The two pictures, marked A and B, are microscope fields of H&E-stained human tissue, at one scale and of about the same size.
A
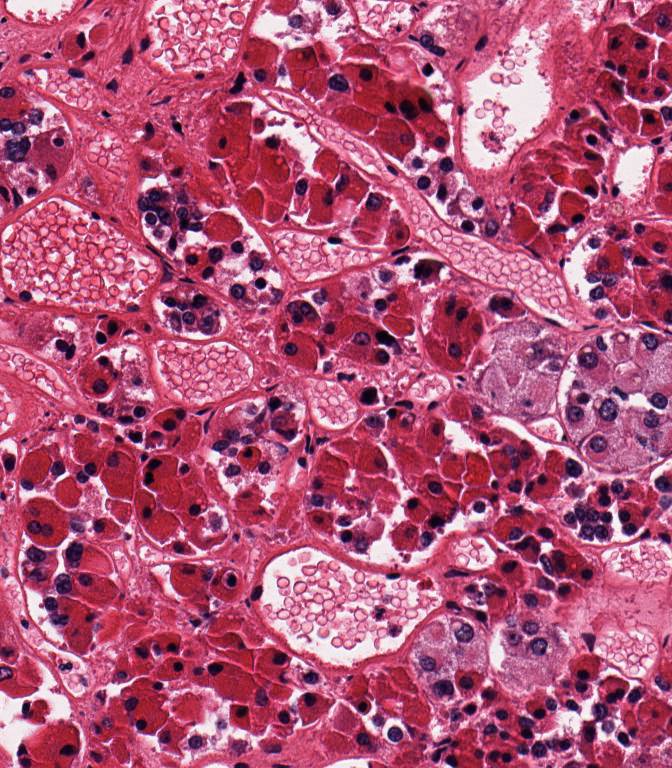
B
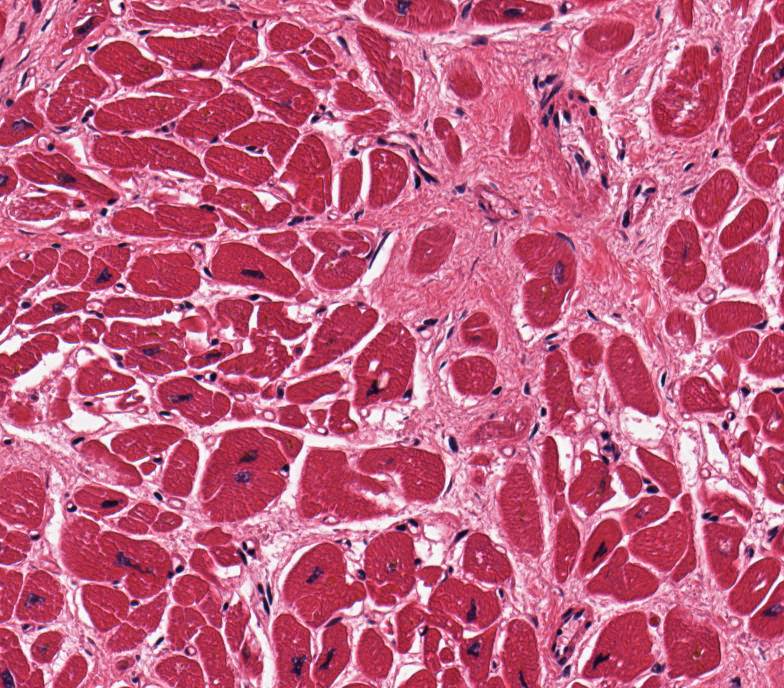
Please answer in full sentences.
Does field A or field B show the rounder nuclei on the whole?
The nuclei are rounder in field A.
